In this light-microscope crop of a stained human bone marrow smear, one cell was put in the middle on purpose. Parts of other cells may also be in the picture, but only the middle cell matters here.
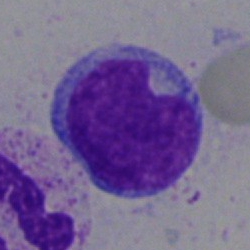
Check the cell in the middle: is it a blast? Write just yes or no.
yes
